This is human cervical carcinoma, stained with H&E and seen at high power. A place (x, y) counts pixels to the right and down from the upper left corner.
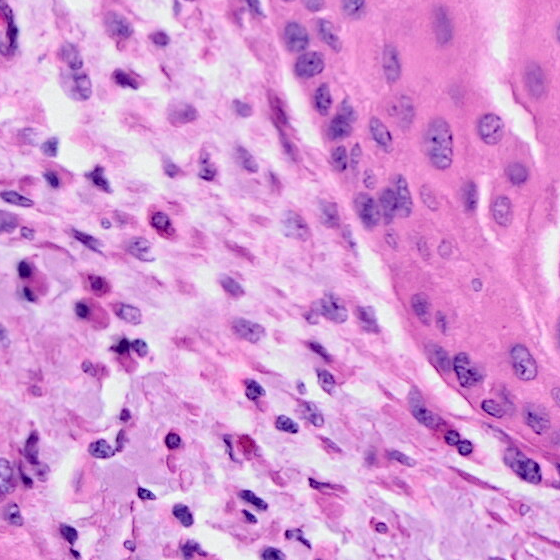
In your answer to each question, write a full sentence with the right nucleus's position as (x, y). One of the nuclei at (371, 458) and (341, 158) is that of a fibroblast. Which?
Of these two nuclei, it is the one at (371, 458) that belongs to a fibroblast.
